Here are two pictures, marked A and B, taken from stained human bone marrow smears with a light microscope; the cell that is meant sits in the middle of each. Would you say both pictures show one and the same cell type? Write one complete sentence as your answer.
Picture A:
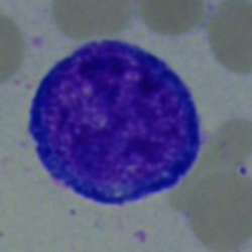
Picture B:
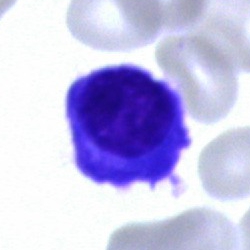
No; the cell in picture A is a proerythroblast, while the one in picture B is a plasma cell.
